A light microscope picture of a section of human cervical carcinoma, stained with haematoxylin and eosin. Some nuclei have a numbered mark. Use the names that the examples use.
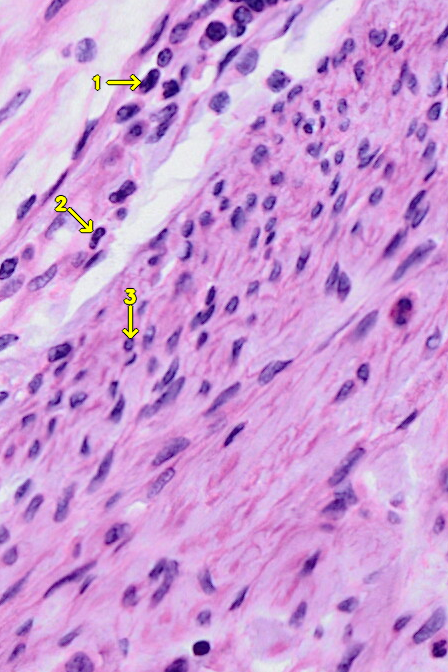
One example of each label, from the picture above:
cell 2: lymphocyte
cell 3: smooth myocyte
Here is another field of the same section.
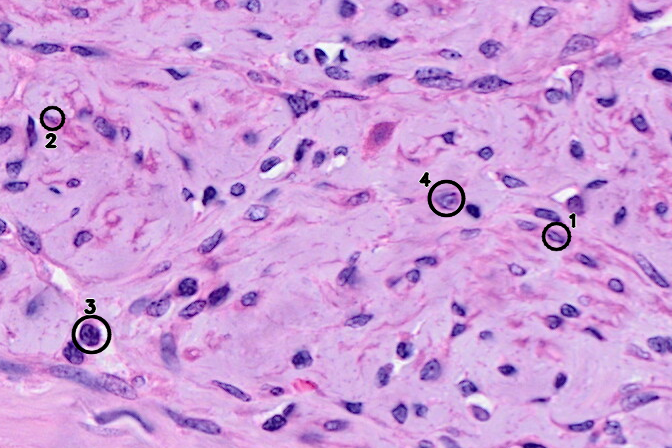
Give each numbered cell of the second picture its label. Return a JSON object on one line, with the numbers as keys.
{"1": "smooth myocyte", "2": "smooth myocyte", "3": "lymphocyte", "4": "smooth myocyte"}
